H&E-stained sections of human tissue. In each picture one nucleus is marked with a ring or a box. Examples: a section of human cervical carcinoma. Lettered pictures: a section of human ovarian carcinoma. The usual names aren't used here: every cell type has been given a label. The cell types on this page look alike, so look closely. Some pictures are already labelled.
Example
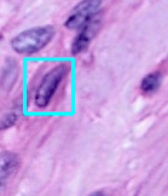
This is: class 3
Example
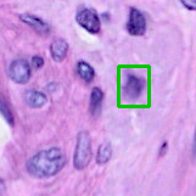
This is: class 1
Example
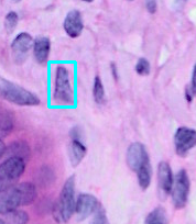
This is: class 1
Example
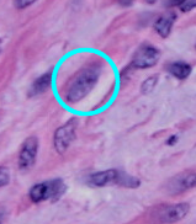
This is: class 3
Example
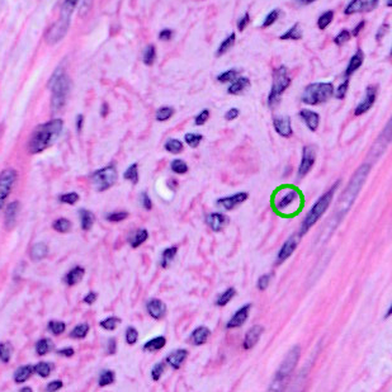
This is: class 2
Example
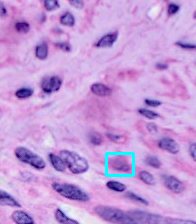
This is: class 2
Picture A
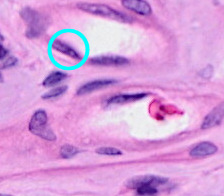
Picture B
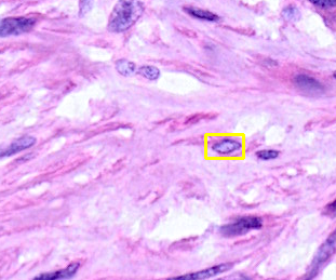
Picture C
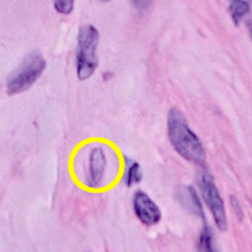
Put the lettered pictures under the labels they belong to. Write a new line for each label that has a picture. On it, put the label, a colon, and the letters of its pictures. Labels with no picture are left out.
class 3: A
class 1: B
class 2: C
